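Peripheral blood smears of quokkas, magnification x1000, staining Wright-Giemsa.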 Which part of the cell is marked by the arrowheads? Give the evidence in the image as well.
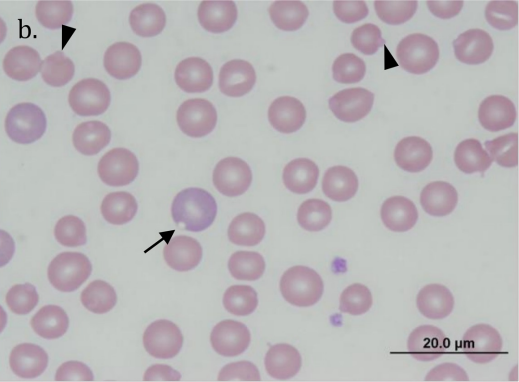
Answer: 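Heinz bodies. Each arrowhead points to a small rounded bump protruding from the edge of a red cell.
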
